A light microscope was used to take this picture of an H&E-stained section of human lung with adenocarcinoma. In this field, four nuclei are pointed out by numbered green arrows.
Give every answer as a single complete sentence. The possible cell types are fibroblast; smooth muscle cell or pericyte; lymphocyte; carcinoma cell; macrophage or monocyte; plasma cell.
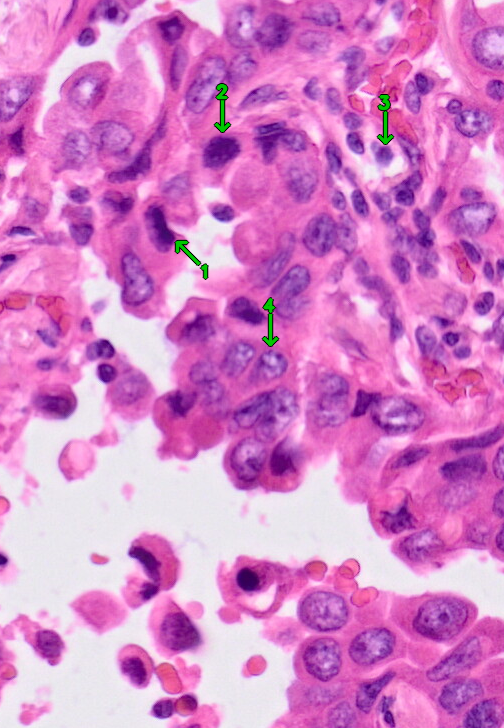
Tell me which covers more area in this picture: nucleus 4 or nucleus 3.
The larger nucleus is 4, at roughly 2.5 times the area of 3.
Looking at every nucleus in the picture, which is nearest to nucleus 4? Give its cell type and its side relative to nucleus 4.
The nearest nucleus is that of a carcinoma cell and lies to the left of nucleus 4.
